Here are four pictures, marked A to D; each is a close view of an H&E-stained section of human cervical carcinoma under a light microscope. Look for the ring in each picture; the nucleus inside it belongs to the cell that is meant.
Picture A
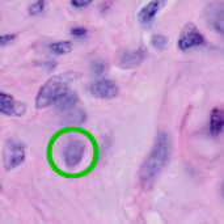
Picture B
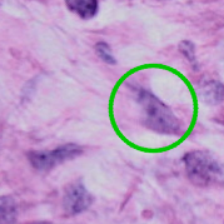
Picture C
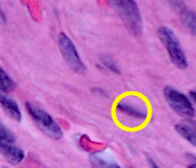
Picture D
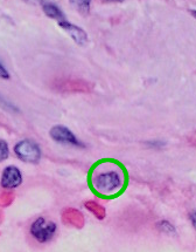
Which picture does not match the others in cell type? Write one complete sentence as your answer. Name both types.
Unlike the rest, which show fibroblasts, picture D shows an endothelial cell.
